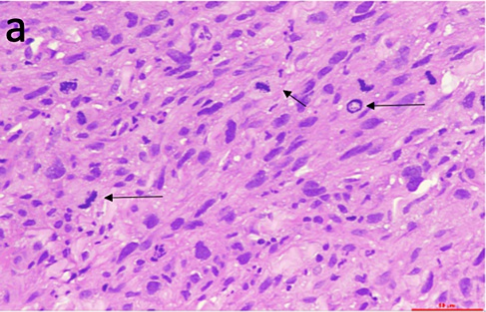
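A cellular tumor of spindle and polygonal cells with highly pleomorphic nuclei fills the field, set in a pink fibrillary stroma. The cells run in loose, vaguely parallel streams. Nuclei are purple and vary widely, from small oval or elongated forms to large, irregular, hyperchromatic ones, some bizarre in outline. Cytoplasm is pale pink and poorly delimited. Scattered among them are several abnormal mitotic figures with dark clumped chromatin, one forming a ring, marked by arrows. A few small clear spaces are present in the stroma.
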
